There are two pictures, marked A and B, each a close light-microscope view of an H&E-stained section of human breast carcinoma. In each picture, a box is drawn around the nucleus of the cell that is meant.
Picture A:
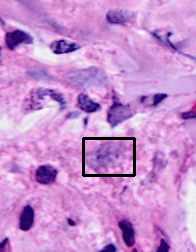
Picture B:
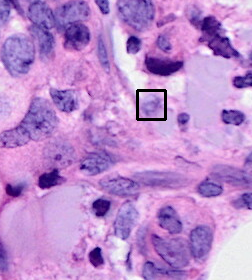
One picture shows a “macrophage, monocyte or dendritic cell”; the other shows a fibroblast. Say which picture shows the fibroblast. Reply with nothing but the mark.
A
